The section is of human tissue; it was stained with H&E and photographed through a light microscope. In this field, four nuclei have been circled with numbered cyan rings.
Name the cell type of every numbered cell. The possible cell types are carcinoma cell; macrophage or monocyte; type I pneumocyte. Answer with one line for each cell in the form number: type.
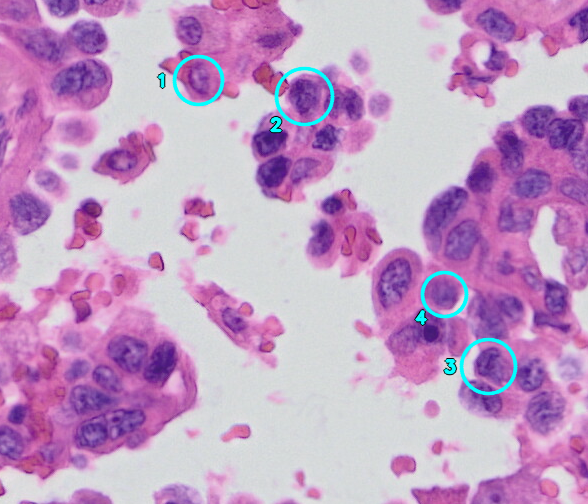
1: macrophage or monocyte
2: carcinoma cell
3: carcinoma cell
4: carcinoma cell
